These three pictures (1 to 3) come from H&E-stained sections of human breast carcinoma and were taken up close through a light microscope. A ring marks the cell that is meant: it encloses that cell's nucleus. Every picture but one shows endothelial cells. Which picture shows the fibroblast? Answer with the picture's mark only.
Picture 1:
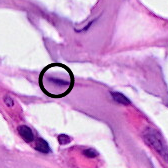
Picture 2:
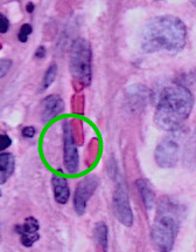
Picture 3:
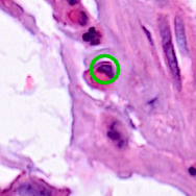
1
